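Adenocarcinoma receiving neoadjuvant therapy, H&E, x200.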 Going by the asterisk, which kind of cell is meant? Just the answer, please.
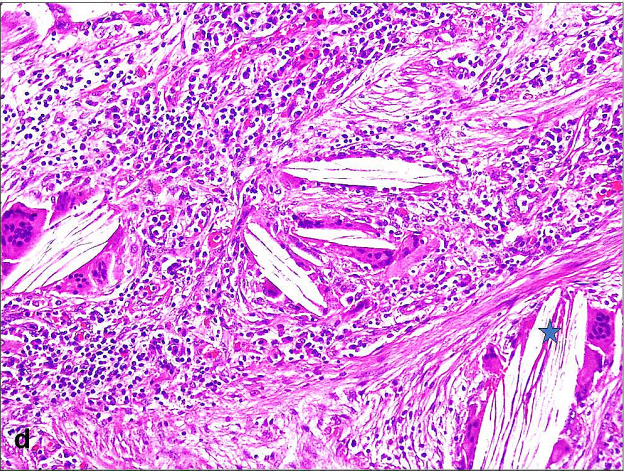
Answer: foreign body-style giant cells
